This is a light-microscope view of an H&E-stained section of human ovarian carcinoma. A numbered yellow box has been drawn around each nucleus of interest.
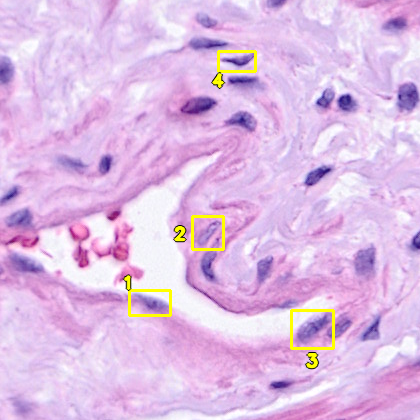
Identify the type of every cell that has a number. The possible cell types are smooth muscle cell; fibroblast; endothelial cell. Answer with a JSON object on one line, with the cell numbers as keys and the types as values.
{"1": "endothelial cell", "2": "smooth muscle cell", "3": "endothelial cell", "4": "fibroblast"}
